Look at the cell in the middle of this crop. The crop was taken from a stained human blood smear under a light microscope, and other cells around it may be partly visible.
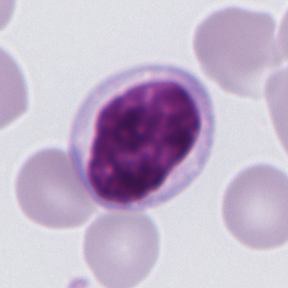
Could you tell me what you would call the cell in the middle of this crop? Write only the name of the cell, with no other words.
large granular lymphocyte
